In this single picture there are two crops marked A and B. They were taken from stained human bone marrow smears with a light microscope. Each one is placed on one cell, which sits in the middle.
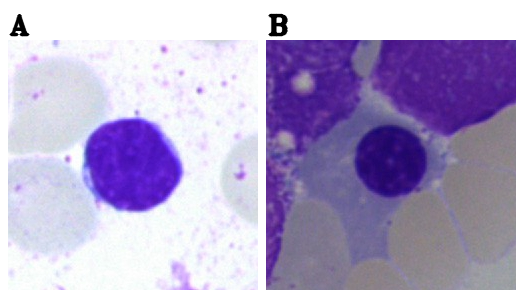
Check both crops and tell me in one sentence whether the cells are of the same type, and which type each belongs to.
No, the correct reading is a lymphocyte in crop A and an erythroblast in crop B.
